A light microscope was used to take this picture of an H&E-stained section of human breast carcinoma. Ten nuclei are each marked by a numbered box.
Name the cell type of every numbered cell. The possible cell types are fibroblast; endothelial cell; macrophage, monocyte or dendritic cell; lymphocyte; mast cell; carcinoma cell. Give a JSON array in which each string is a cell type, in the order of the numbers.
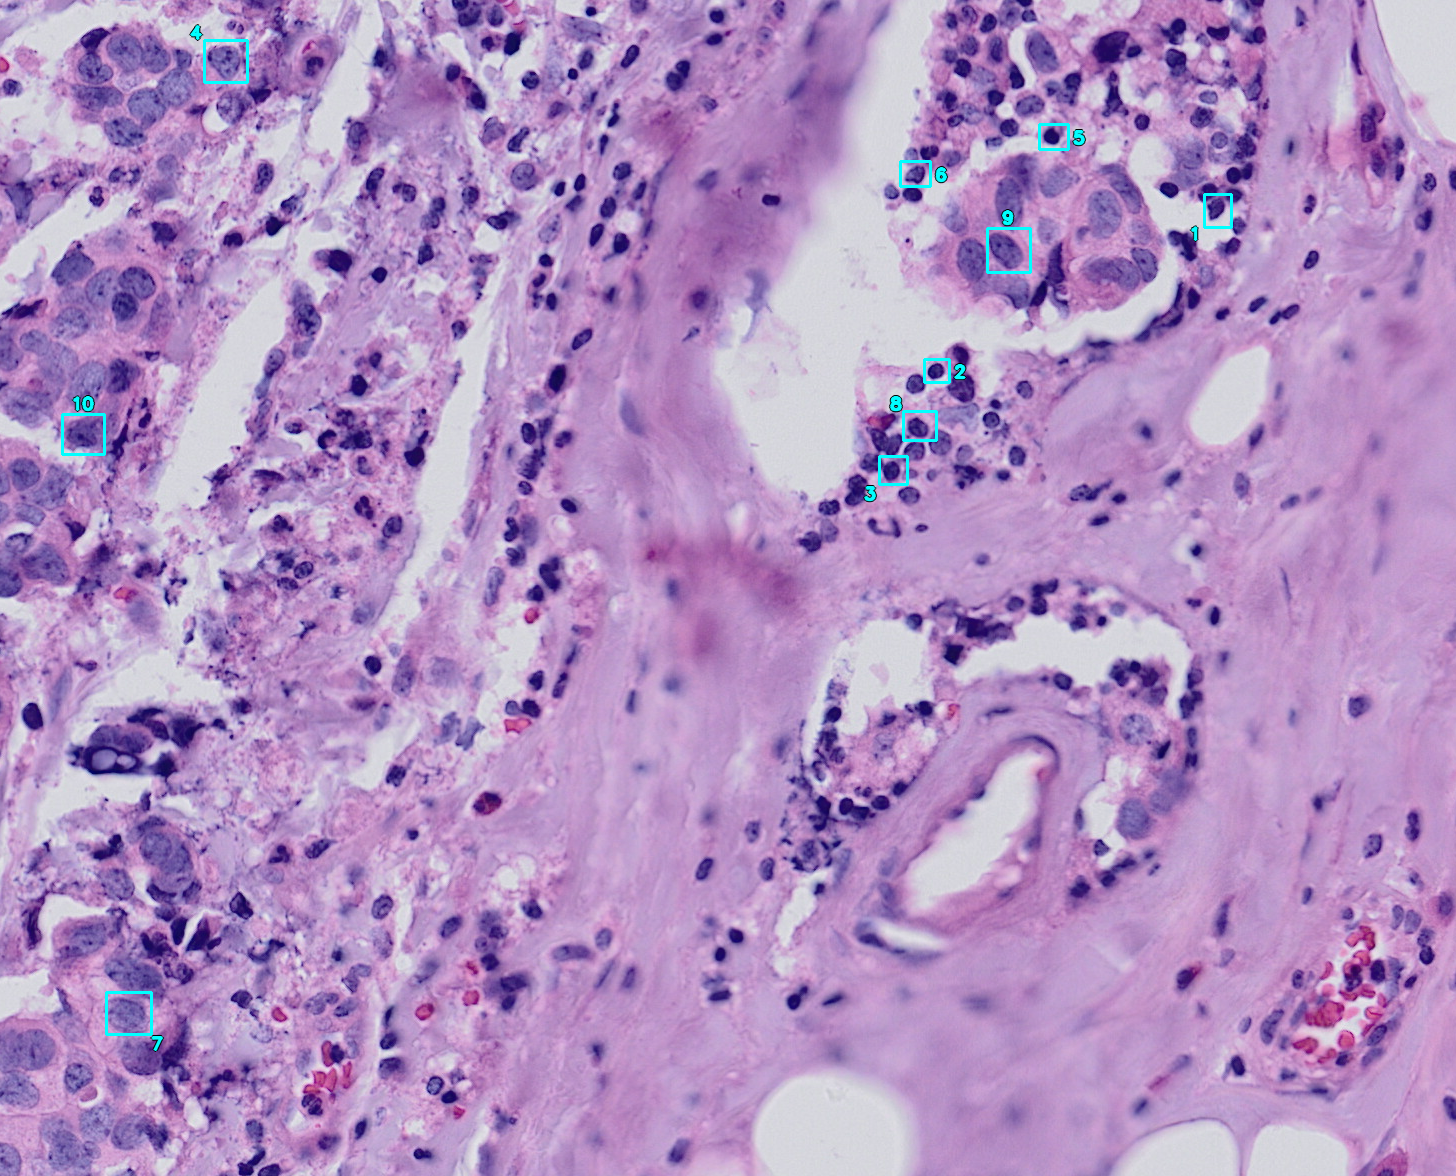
["lymphocyte", "lymphocyte", "lymphocyte", "carcinoma cell", "lymphocyte", "lymphocyte", "carcinoma cell", "lymphocyte", "carcinoma cell", "carcinoma cell"]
